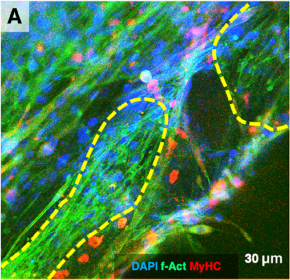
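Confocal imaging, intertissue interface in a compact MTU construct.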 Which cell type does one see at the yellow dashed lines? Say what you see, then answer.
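The cells inside the outline lie roughly parallel to one another.
Hence: fibroblast-shaped cells.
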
